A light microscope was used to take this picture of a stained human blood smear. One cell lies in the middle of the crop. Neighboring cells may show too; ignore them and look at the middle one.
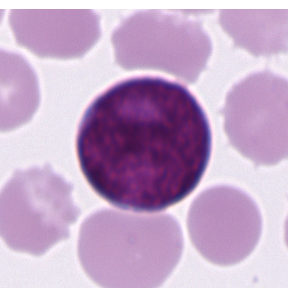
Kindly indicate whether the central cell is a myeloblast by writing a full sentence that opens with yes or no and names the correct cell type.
Yes, the cell in the centre is a myeloblast.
